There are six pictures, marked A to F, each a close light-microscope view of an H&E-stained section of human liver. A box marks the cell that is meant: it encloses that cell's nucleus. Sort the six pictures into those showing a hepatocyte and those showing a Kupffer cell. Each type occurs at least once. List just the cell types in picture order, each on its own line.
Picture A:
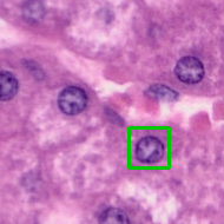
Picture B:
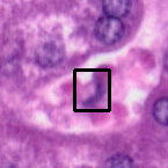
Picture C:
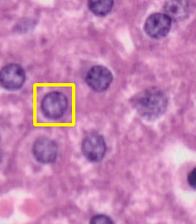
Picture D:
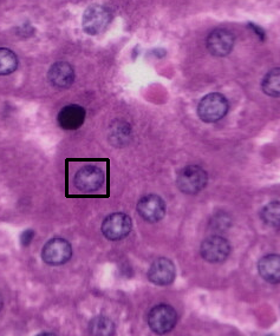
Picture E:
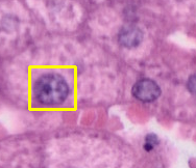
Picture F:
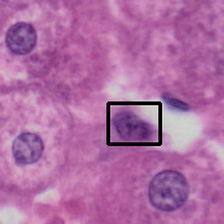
hepatocyte
Kupffer cell
hepatocyte
hepatocyte
hepatocyte
Kupffer cell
